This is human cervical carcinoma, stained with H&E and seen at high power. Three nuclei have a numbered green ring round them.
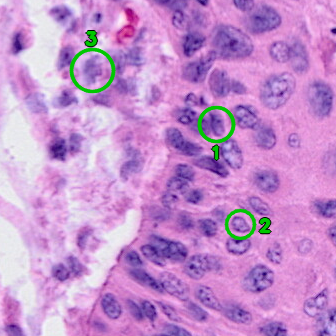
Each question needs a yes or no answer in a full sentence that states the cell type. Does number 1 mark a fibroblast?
No, calling cell 1 a fibroblast is a mistake; it is a squamous carcinoma cell.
